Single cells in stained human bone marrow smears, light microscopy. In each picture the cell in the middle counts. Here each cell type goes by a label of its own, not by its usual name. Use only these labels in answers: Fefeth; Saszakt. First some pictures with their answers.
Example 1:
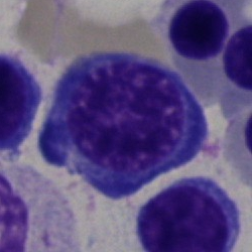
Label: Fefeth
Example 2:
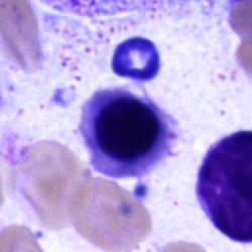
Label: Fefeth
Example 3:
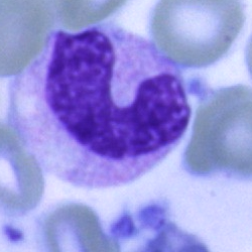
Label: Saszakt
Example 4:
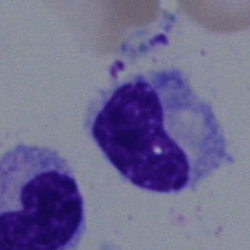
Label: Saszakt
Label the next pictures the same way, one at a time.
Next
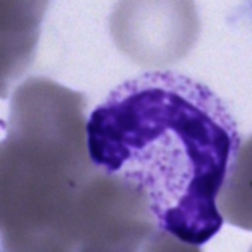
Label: Saszakt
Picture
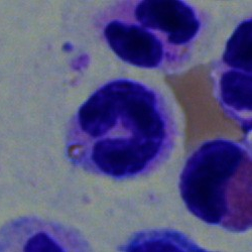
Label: Saszakt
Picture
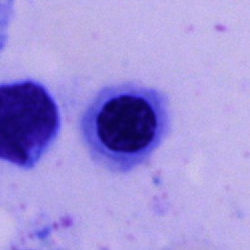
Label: Fefeth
